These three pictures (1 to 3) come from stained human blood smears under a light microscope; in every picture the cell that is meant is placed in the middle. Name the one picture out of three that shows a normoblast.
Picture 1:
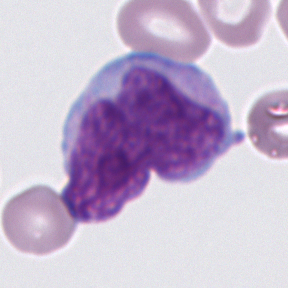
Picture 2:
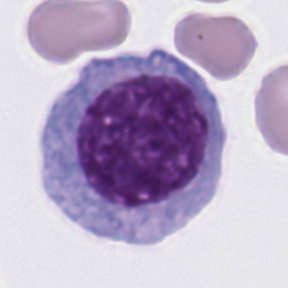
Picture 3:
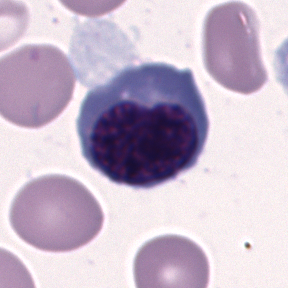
3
